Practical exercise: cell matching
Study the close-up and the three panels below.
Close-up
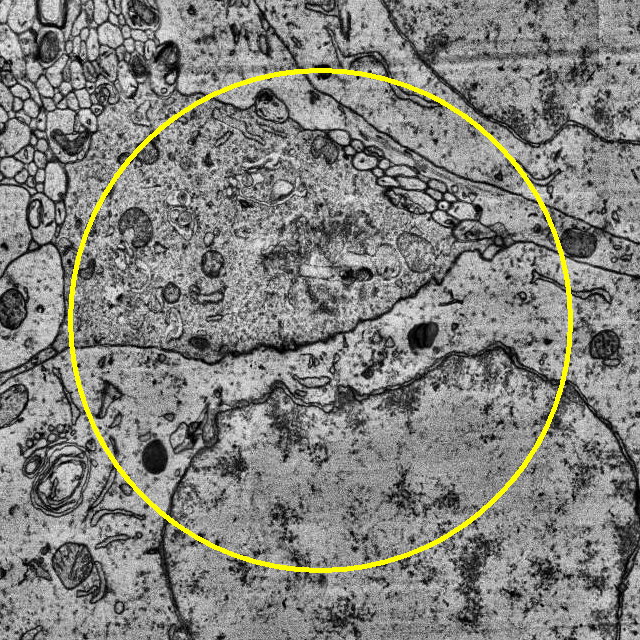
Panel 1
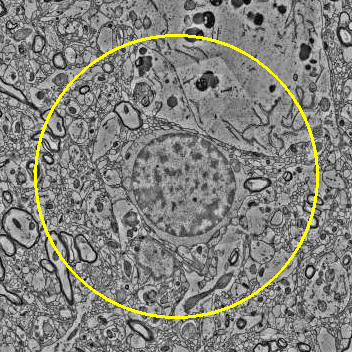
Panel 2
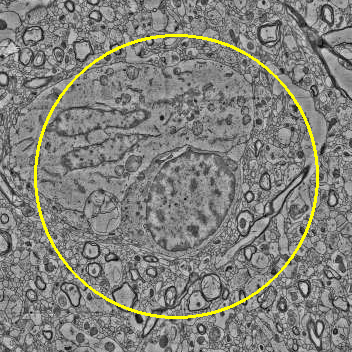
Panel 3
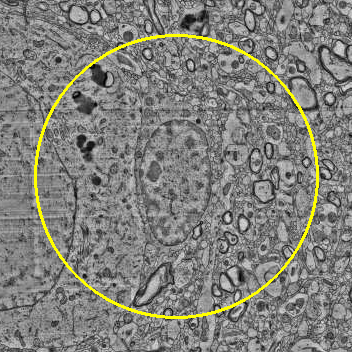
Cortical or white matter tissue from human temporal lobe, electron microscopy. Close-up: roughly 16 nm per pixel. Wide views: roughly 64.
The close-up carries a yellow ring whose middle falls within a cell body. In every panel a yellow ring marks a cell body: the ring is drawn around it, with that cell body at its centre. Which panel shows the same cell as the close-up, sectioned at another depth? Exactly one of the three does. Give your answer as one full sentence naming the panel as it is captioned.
The cell under magnification is the ringed one in Panel 1.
